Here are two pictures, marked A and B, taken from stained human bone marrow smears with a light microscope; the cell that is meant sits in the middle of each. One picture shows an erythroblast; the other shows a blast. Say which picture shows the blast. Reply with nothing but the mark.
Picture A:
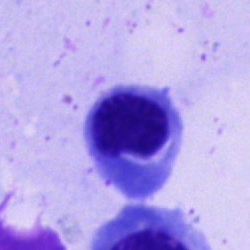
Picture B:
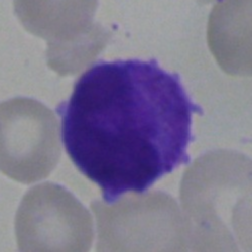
B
